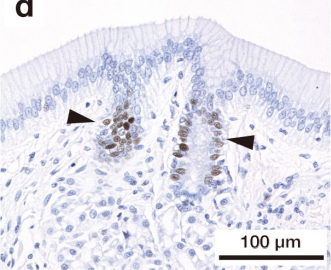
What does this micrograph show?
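Gastric mucosa with surface epithelium and the upper part of gastric glands. The surface is lined by a single layer of tall columnar cells with pale apical cytoplasm and a row of oval blue nuclei toward the base. Beneath the surface, narrow glandular tubes descend into the lamina propria, and in their upper part clusters of cells have nuclei stained brown, arranged along the walls of the tubes. The surrounding lamina propria contains scattered, loosely arranged cells with small blue nuclei. The brown nuclei are restricted to the glands below the surface and are absent from the surface lining cells.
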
